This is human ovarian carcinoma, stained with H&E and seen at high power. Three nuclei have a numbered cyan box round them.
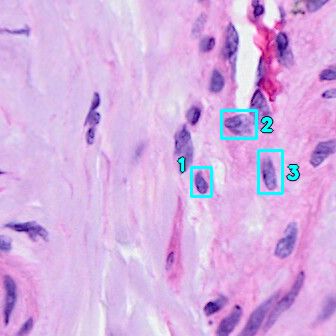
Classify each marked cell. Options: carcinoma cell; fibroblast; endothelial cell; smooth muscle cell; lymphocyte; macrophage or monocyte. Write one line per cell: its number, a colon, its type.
1: smooth muscle cell
2: endothelial cell
3: smooth muscle cell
